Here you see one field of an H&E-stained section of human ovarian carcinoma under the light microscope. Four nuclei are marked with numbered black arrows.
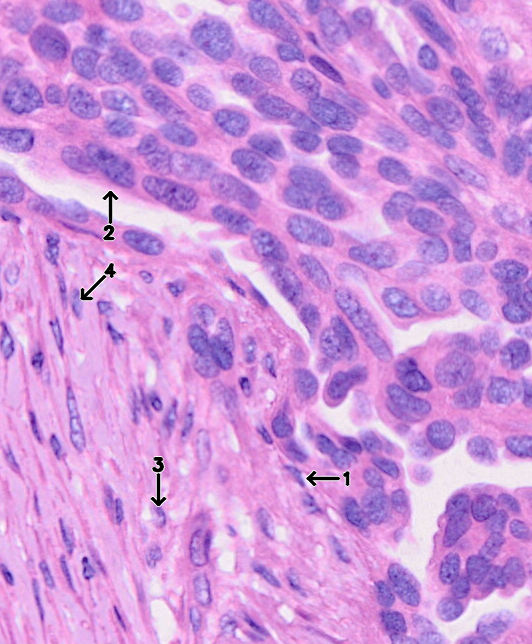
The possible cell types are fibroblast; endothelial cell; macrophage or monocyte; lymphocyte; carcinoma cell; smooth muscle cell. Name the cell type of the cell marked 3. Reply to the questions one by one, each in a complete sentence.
The cell that is numbered 3 is a fibroblast.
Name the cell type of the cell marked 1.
Here, the cell given the number 1 is a fibroblast.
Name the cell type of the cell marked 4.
The marked nucleus 4 is that of a fibroblast.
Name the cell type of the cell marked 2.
The cell indicated by marker 2 is a carcinoma cell in this section.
